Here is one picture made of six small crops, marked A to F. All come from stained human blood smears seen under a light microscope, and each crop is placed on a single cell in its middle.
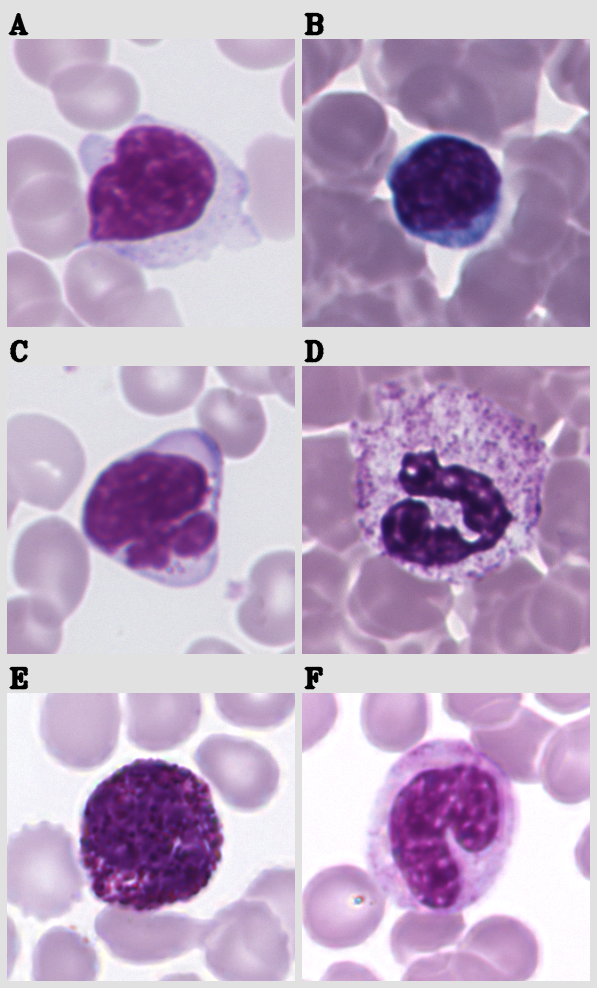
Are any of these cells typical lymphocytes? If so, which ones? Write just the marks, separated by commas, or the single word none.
B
